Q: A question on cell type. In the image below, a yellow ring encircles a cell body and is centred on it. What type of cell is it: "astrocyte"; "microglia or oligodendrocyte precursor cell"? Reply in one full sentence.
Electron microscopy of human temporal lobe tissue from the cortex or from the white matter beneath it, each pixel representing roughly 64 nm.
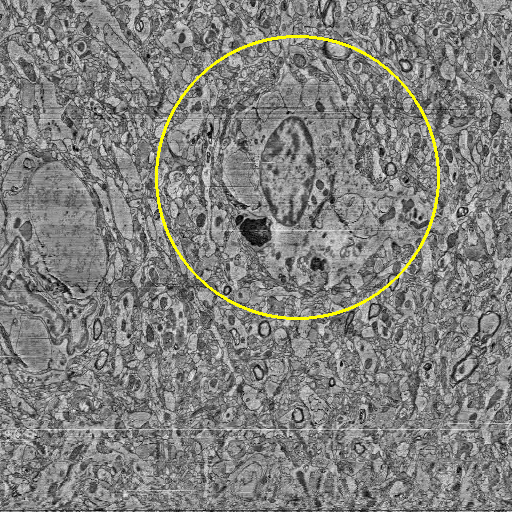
It is an astrocyte whose cell body sits at the centre of the yellow ring in the image.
